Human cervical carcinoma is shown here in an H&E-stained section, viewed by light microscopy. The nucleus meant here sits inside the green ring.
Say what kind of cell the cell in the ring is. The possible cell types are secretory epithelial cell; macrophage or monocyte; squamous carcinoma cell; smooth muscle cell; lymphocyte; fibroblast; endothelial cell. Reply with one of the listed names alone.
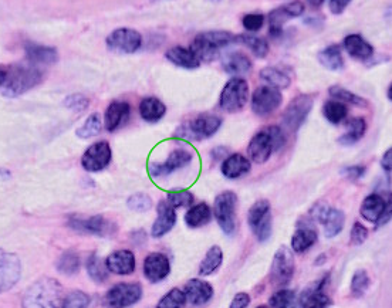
lymphocyte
